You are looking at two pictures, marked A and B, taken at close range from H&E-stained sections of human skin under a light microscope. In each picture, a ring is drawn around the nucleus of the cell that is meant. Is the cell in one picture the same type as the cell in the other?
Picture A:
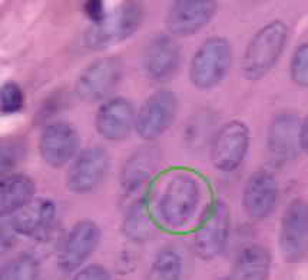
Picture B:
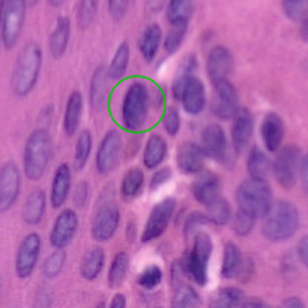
no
